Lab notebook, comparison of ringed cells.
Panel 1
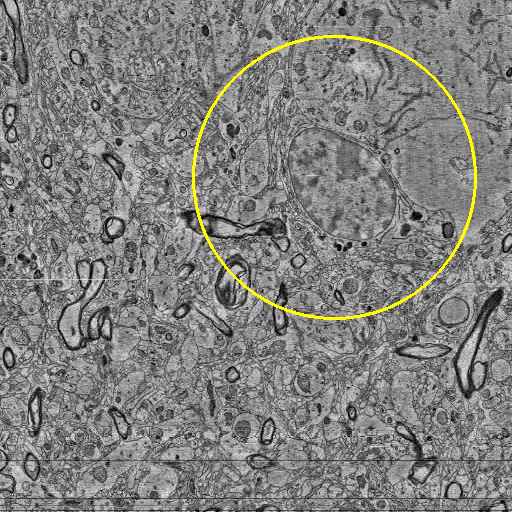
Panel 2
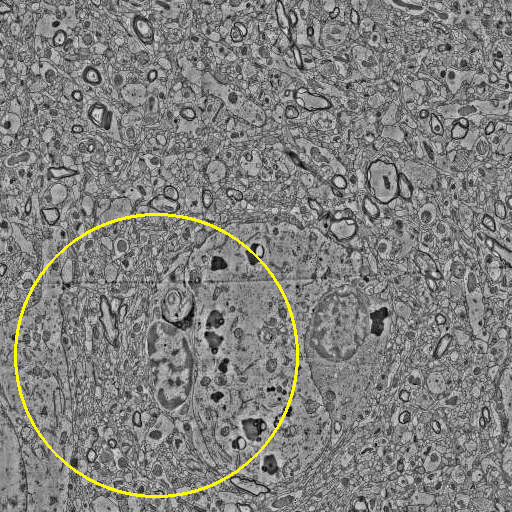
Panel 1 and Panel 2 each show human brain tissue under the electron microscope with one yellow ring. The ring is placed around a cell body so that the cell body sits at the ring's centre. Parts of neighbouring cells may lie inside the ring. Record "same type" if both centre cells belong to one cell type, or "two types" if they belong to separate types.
same type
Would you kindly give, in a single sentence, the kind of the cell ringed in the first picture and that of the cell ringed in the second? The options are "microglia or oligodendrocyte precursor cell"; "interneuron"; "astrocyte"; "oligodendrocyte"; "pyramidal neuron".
Both rings mark a microglial cell or oligodendrocyte precursor cell, one in each picture.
